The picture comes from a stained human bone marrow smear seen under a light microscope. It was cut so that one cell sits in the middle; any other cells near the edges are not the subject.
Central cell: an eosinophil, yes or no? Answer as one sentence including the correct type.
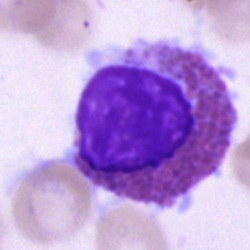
Yes, the cell here in the middle is an eosinophil.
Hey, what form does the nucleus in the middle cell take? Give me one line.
Have a look at the nucleus, which is one compact mass, round, oval or kidney-shaped.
